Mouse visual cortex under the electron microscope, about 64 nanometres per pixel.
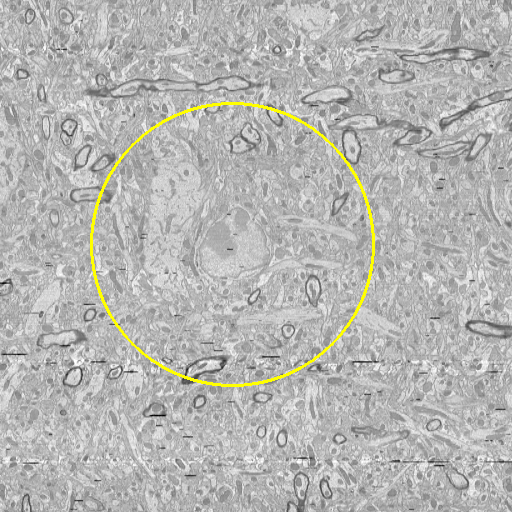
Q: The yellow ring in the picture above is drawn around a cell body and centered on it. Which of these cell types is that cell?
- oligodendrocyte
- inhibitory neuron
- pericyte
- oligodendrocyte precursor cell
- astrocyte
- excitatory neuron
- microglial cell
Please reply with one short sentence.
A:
The cell body at the ring's center belongs to an oligodendrocyte precursor cell.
